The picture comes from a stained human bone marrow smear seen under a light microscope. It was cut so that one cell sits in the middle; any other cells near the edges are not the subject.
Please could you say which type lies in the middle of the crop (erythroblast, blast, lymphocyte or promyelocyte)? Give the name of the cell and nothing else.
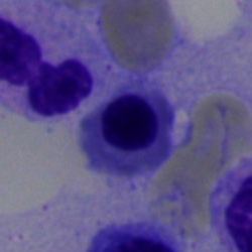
erythroblast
